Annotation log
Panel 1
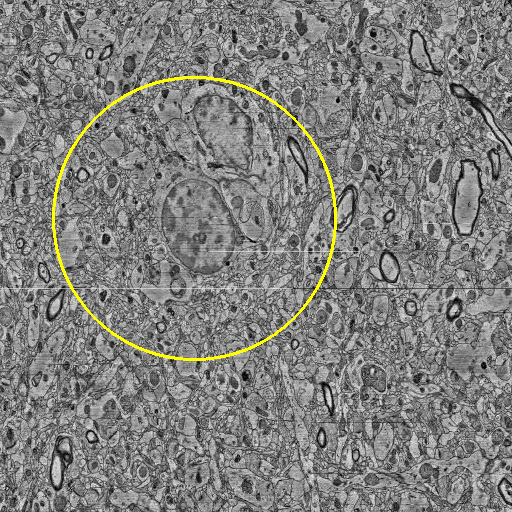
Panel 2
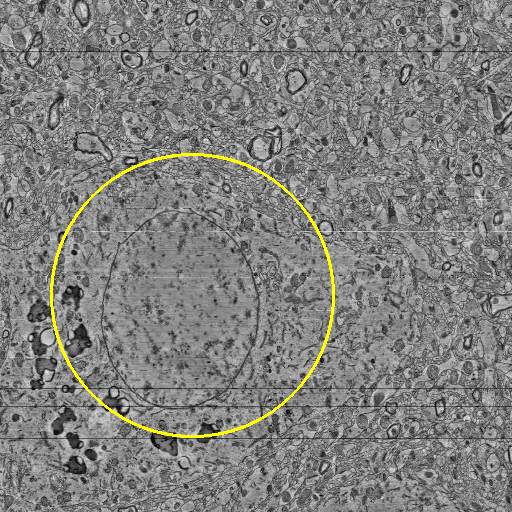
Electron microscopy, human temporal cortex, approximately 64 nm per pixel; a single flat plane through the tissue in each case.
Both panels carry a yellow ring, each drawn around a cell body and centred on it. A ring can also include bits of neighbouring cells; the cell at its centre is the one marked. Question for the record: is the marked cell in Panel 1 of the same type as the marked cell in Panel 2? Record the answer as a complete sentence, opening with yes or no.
No, the marked cells in Panel 1 and Panel 2 are of two types.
